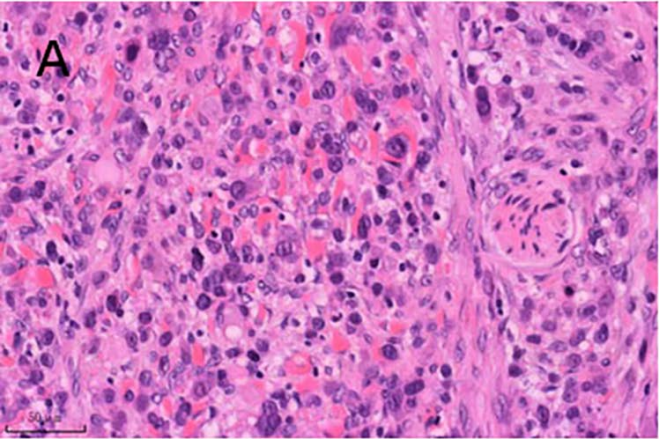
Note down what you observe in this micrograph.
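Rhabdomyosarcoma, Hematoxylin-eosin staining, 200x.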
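This is a tumor made mostly of epithelioid cells: rounded to polygonal cells packed in a dense sheet. Many cells carry generous, brightly pink cytoplasm, and in places that cytoplasm forms glassy pink bodies that stand out from their neighbours. Scattered small dark nuclei lie between the larger cells. Toward the right edge a band of more elongated cells and a small vessel cut across the field, breaking up the sheet of rounded tumor cells.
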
